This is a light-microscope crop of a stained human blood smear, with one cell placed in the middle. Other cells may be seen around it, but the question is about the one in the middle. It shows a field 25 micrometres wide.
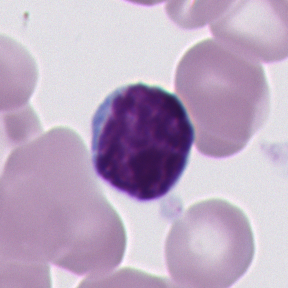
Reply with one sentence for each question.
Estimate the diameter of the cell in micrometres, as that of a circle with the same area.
About 10 micrometres: that is the cell's diameter.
